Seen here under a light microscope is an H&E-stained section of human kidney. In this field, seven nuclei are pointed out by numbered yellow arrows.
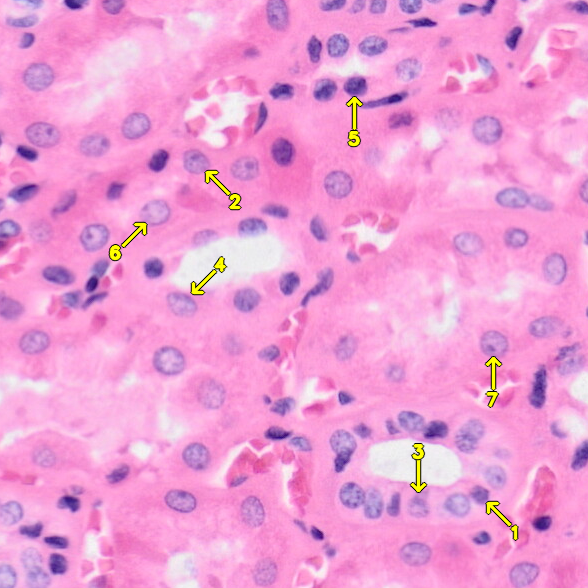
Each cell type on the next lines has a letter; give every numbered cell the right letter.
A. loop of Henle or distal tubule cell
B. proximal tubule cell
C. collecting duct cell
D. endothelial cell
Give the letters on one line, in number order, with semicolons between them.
C; B; C; A; A; B; B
